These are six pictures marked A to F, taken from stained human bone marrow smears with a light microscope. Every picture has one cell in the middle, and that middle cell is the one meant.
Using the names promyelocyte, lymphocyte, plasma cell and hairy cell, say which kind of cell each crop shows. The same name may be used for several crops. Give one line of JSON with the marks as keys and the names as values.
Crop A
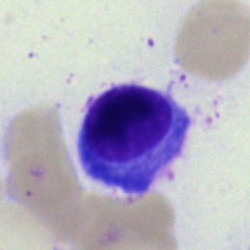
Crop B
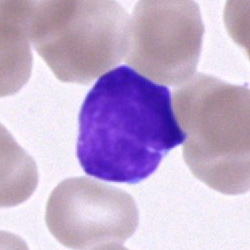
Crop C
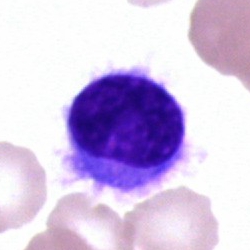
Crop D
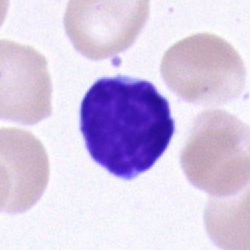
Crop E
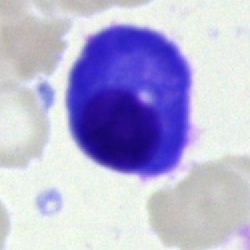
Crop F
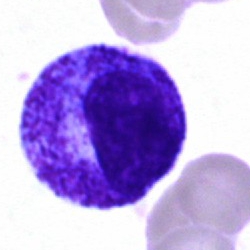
{"A": "plasma cell", "B": "lymphocyte", "C": "hairy cell", "D": "lymphocyte", "E": "plasma cell", "F": "promyelocyte"}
